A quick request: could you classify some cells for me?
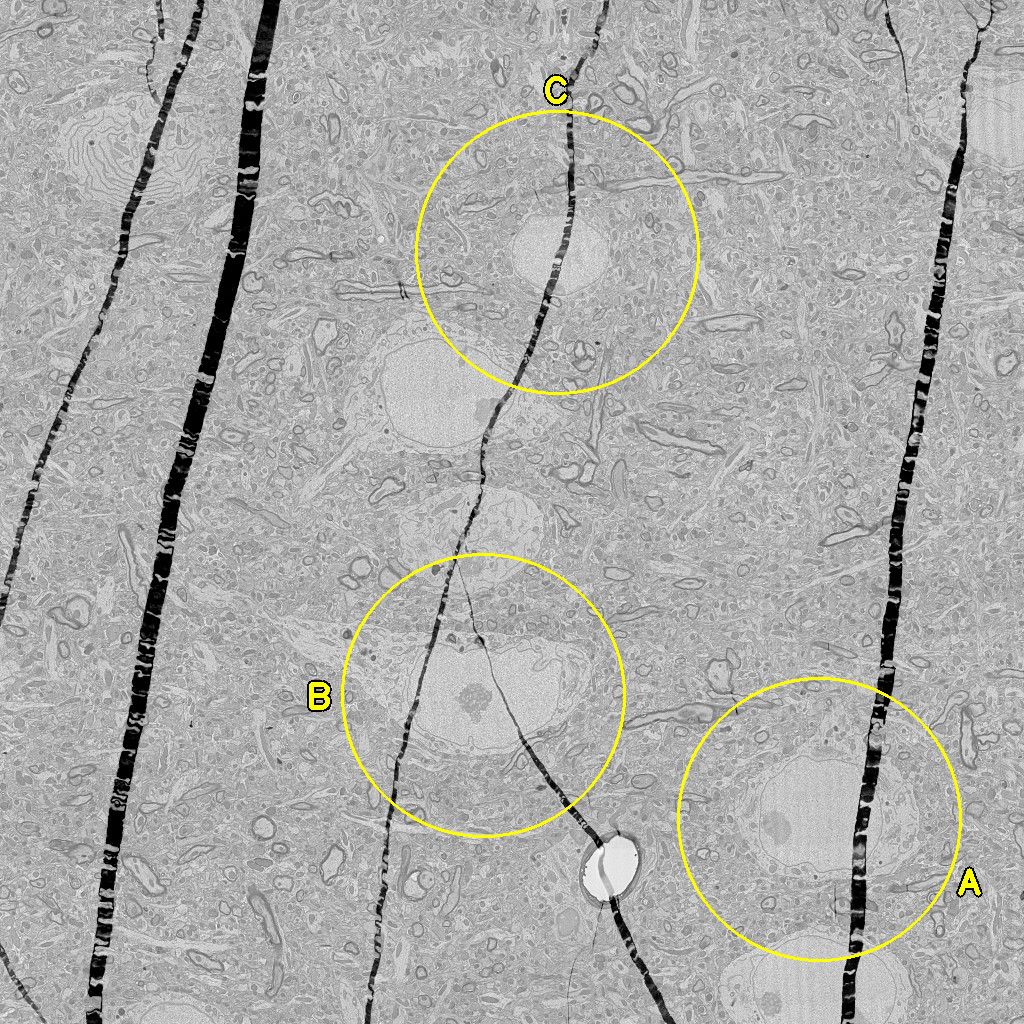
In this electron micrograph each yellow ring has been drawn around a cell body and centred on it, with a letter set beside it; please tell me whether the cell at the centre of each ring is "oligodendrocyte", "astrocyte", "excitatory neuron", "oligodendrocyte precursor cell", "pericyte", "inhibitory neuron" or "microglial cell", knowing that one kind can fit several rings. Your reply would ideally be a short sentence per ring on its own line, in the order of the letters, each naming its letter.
Ring A has an excitatory neuron at its centre.
Ring B has an inhibitory neuron at its centre.
Ring C has an astrocyte at its centre.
